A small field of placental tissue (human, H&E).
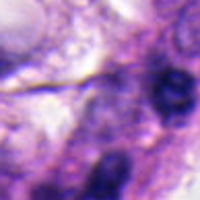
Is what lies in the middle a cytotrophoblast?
Yes, it is a cytotrophoblast.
